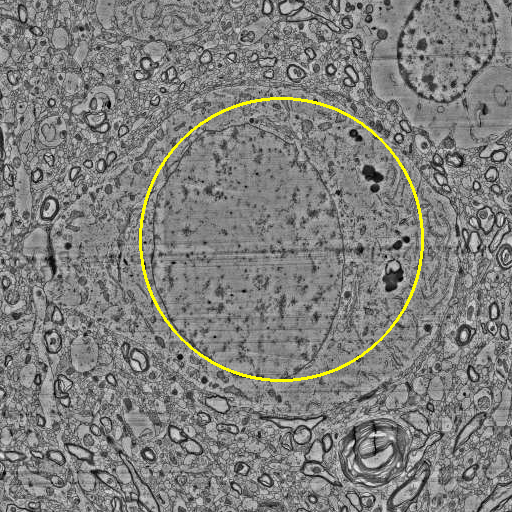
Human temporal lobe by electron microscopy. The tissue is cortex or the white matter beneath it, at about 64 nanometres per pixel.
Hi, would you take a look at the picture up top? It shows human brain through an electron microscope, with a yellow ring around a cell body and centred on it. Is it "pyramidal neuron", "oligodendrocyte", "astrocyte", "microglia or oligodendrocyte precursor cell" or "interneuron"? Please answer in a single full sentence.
The best fit for the cell in the middle of the ring is a pyramidal neuron, I reckon.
